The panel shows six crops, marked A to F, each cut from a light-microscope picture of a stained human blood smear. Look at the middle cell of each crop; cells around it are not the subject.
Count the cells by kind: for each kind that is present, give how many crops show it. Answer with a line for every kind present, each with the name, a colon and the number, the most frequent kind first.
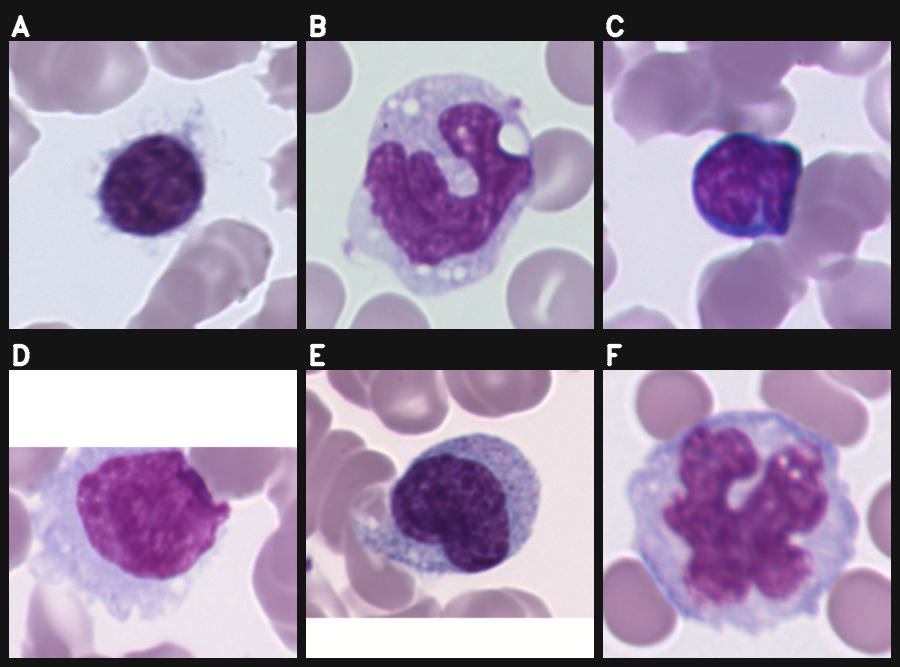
monocyte: 3
hairy cell: 2
typical lymphocyte: 1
